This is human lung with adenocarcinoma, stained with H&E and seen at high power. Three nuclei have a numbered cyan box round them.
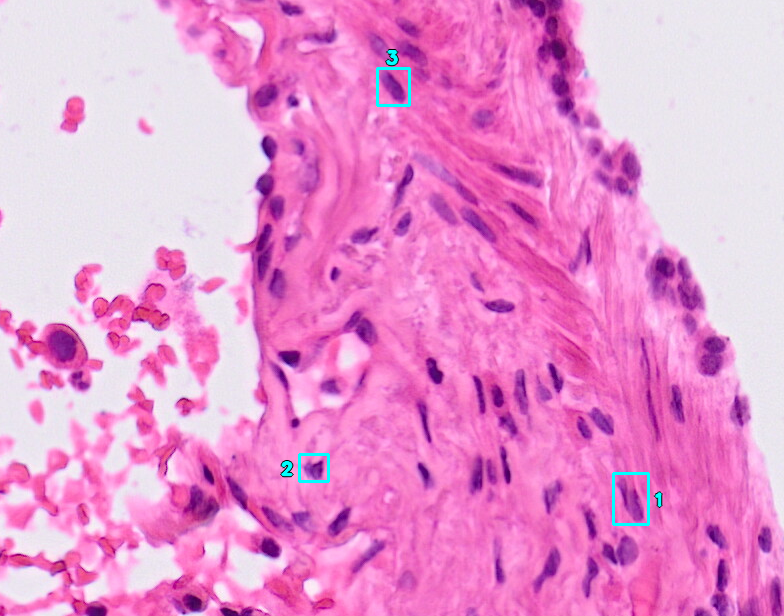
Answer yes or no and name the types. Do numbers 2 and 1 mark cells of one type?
Yes, the numbered cells 2 and 1 are both fibroblasts.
